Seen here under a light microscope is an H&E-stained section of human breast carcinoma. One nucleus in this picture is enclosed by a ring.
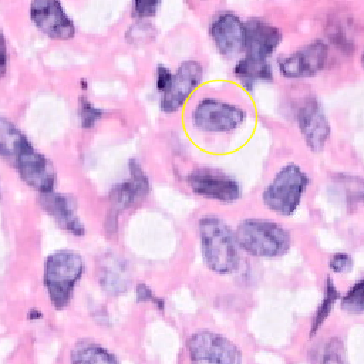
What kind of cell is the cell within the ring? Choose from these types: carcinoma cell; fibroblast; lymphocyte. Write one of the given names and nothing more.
carcinoma cell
